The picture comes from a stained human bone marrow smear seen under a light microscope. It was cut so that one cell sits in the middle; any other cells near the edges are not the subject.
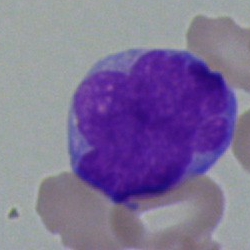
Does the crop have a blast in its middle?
yes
